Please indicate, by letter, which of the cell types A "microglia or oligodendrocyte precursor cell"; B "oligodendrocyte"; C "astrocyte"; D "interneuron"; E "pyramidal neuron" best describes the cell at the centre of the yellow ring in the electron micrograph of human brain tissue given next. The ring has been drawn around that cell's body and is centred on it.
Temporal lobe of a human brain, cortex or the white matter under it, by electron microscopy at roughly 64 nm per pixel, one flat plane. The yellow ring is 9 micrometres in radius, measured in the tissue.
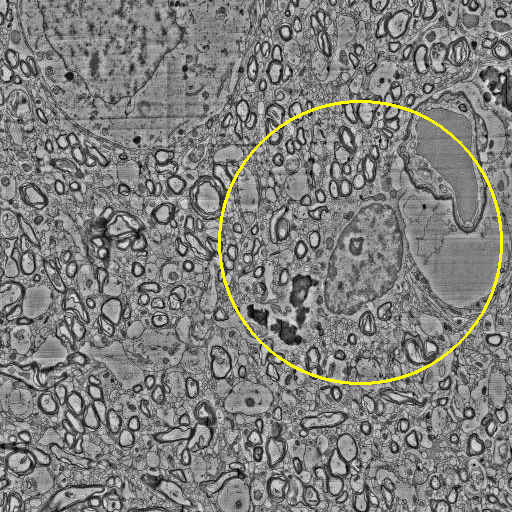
B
